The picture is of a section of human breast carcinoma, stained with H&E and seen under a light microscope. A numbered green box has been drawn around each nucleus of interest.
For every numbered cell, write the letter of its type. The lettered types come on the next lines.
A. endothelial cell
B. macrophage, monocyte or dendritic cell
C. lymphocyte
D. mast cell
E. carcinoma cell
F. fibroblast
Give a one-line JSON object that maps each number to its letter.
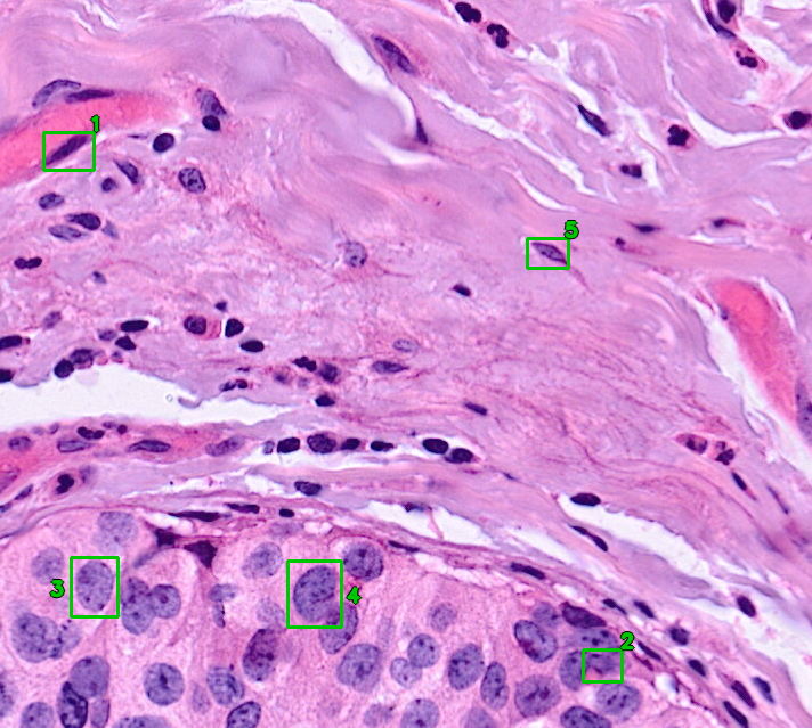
{"1": "A", "2": "E", "3": "E", "4": "E", "5": "F"}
